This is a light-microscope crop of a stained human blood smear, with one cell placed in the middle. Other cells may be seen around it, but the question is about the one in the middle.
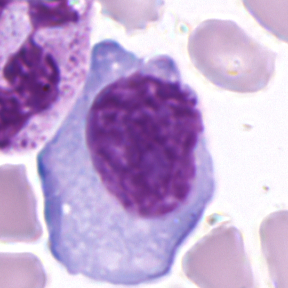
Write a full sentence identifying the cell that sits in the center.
The central element of this crop is a cell, namely a plasma cell.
